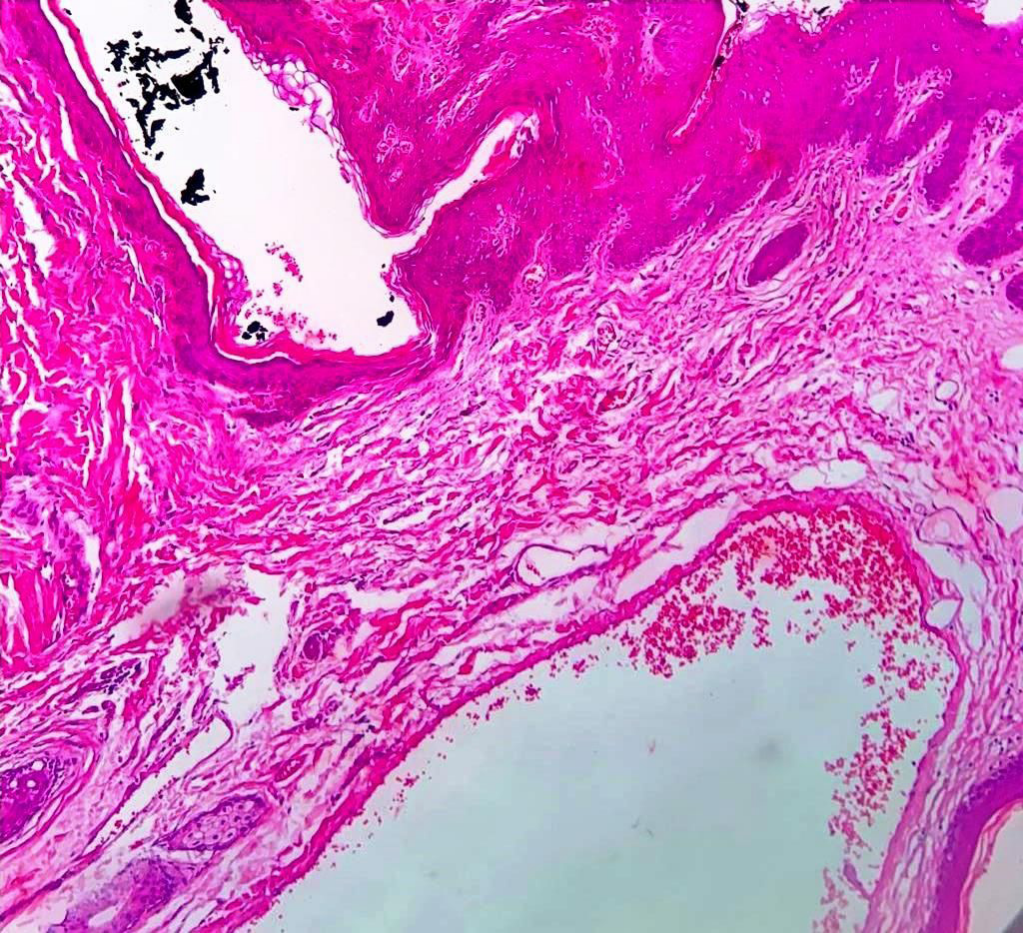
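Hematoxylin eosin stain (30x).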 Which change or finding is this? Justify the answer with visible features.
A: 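A very large, thin-walled space in the dermis occupies the lower right of the panel. Red blood cells lie along the upper edge of this large space. The wall of this space is a thin pink line of flattened lining.
Ectasia of vessels.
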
